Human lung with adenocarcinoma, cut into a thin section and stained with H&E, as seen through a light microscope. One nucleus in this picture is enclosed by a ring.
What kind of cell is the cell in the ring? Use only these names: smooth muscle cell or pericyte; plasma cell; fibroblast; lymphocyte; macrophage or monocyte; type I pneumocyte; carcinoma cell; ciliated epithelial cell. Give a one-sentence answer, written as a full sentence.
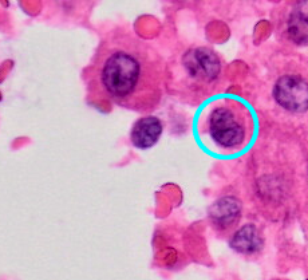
As to its cell type, the cell in the ring is a macrophage or monocyte.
